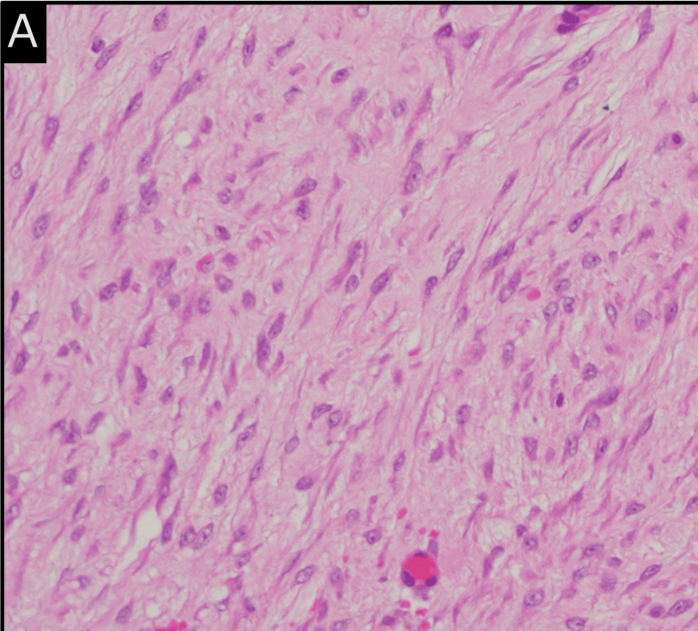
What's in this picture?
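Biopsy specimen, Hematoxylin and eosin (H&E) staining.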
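This is a cellular proliferation of spindle-shaped cells lying in loose parallel streams, with pink cytoplasm drawn out into tapering ends. Their nuclei are purple and oval to somewhat polygonal, varying only mildly in size and shape, set in a pale pink fibrillary background with a few scattered red blood cells.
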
